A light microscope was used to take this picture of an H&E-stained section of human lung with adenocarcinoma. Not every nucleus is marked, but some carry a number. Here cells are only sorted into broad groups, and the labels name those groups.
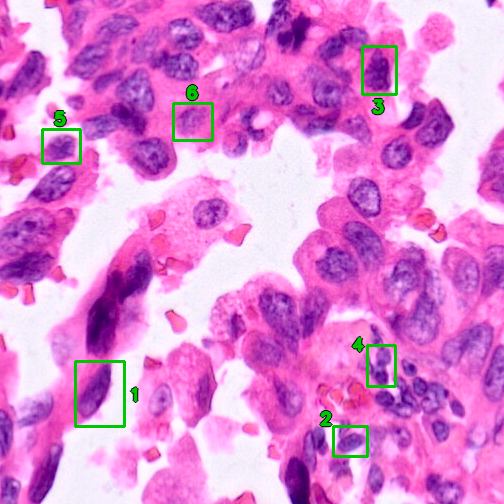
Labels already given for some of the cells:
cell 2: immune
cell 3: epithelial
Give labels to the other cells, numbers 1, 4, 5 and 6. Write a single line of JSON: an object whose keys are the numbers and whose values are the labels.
{"1": "epithelial", "4": "immune", "5": "epithelial", "6": "epithelial"}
